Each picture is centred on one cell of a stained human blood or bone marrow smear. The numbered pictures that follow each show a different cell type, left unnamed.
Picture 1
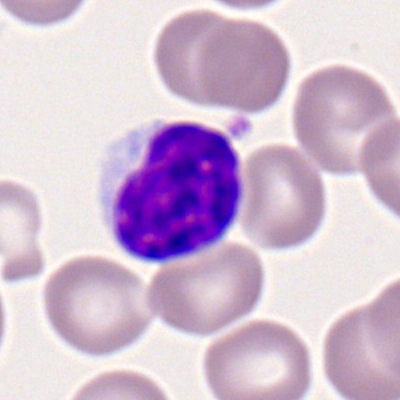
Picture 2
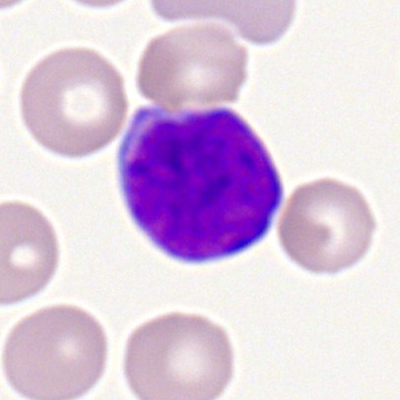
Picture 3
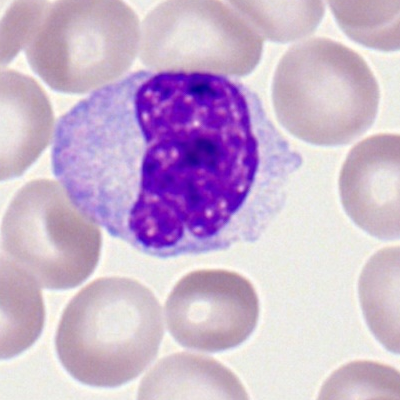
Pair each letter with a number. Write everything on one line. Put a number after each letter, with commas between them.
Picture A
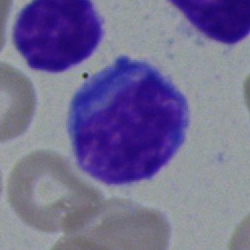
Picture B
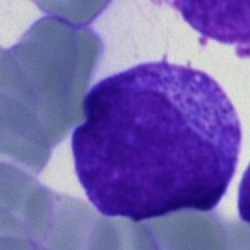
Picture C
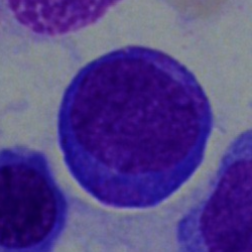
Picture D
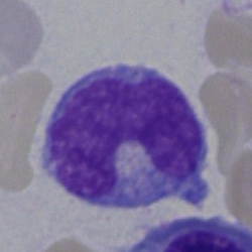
A 1, B 2, C 2, D 3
